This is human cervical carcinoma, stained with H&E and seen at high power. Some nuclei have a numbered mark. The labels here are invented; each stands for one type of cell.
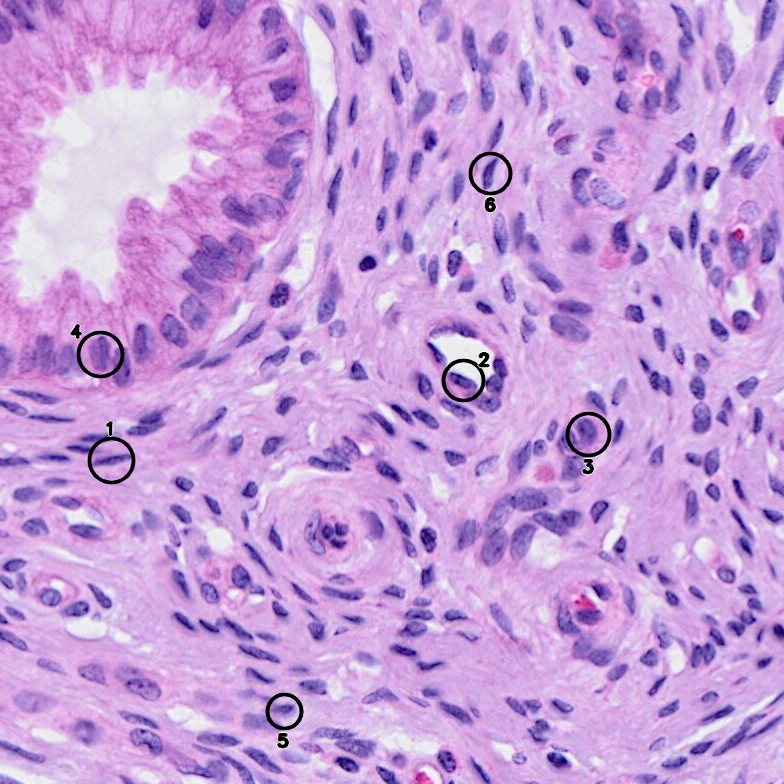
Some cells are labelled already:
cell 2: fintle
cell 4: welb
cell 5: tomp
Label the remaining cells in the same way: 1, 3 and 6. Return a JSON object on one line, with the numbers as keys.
{"1": "tomp", "3": "fintle", "6": "tomp"}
